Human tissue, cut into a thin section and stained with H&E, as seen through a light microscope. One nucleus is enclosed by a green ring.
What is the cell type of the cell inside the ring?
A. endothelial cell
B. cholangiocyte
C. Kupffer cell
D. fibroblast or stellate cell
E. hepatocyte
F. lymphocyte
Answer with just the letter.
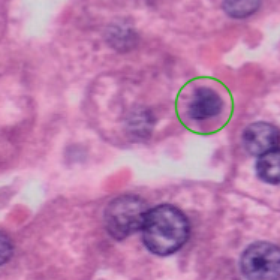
D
